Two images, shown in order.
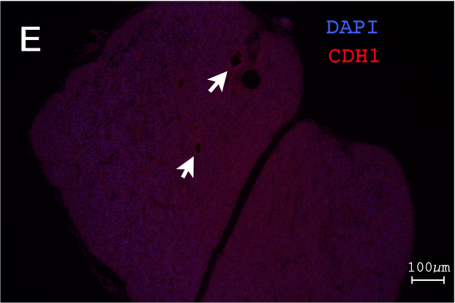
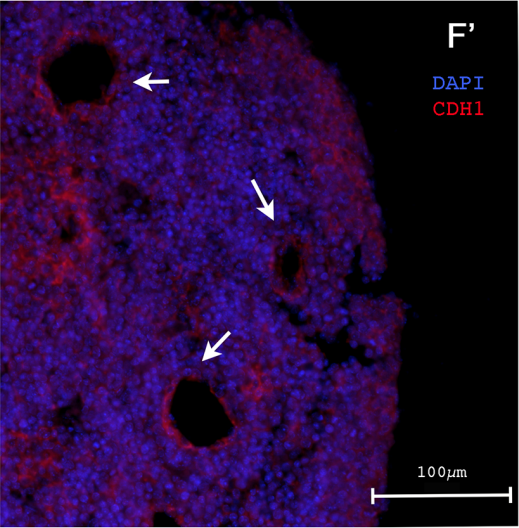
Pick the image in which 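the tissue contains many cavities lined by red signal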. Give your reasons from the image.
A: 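Second image: several large round cavities rimmed by red signal lie within the tissue.
Answer: the second image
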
